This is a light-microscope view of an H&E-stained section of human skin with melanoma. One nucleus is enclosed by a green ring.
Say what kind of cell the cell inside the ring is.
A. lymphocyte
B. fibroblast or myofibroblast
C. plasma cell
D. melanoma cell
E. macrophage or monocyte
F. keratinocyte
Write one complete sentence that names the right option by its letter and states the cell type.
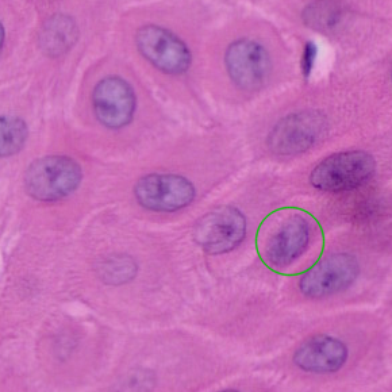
Under option F, the cell inside the ring is listed as a keratinocyte, which is correct.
